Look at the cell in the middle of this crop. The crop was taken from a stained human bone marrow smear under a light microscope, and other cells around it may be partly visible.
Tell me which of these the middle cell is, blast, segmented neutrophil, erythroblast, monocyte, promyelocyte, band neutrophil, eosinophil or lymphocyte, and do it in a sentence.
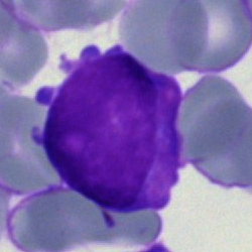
By classification, the middle cell of this crop is a blast.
